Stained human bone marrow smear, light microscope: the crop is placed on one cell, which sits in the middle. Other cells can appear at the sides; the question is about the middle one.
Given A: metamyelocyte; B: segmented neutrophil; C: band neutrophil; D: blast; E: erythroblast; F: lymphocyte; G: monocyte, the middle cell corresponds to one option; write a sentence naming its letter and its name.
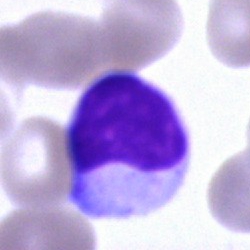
Option F correctly states that the central cell is a lymphocyte.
